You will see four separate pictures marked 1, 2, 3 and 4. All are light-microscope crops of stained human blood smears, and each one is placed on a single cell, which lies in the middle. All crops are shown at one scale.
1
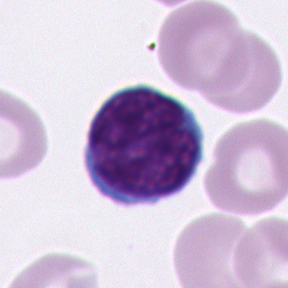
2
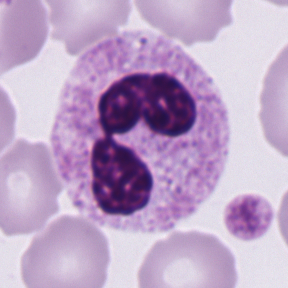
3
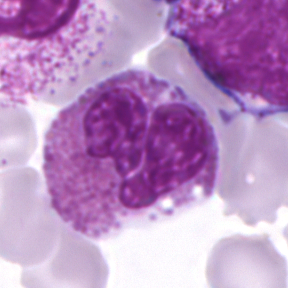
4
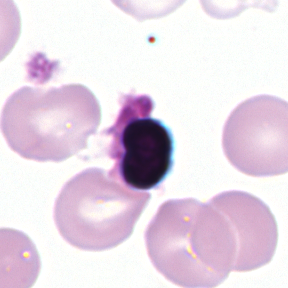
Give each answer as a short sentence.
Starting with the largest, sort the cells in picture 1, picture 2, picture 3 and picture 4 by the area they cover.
Largest first: 2, 3, 1, 4.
